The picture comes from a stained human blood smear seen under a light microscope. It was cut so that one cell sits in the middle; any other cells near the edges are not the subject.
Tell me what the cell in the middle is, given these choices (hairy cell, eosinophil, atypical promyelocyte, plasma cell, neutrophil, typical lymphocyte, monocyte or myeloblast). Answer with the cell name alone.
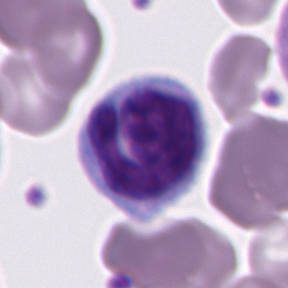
monocyte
